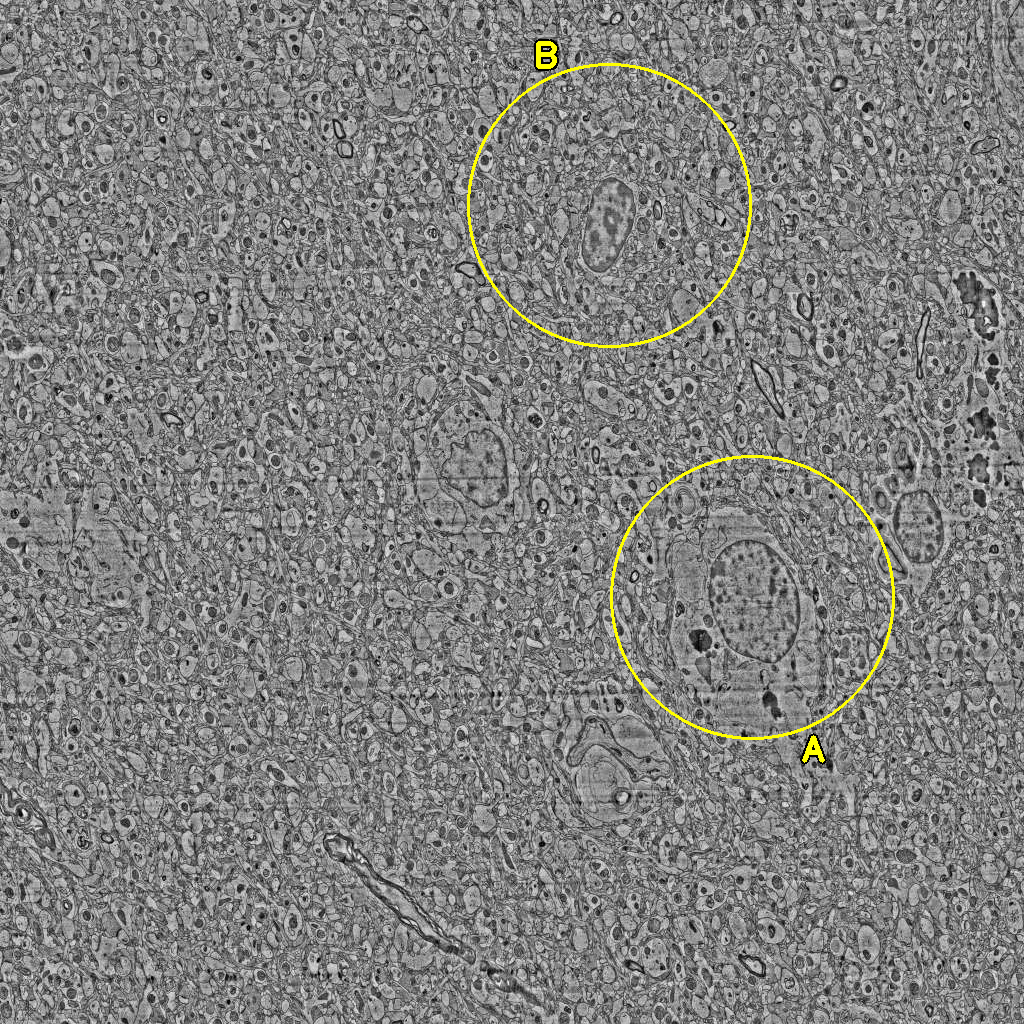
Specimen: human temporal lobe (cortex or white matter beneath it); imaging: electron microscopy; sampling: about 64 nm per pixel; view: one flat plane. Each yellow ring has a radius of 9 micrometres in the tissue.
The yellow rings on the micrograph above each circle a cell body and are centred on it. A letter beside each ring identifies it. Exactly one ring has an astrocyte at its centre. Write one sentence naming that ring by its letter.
Ring A is the one.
